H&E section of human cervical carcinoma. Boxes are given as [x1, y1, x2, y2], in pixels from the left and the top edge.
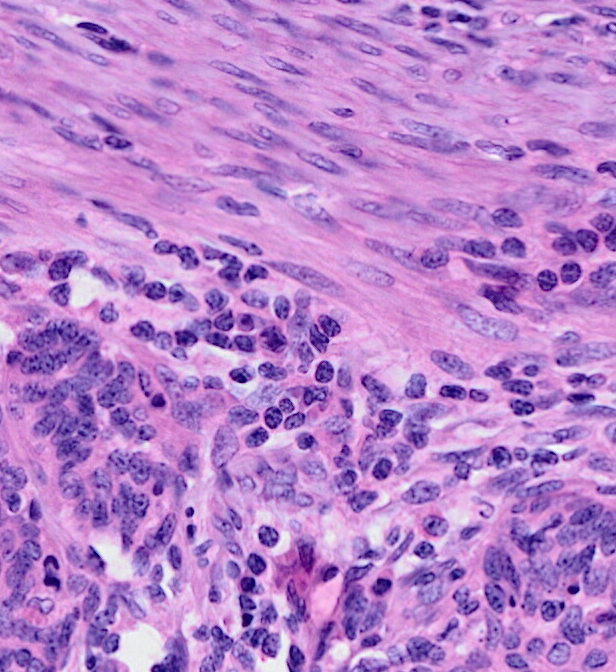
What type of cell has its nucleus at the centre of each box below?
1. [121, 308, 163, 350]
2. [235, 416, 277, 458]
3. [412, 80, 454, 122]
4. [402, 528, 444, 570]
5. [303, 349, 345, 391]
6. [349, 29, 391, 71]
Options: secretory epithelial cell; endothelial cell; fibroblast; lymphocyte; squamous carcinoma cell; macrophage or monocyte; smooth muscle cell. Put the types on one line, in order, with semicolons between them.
lymphocyte; lymphocyte; smooth muscle cell; lymphocyte; lymphocyte; smooth muscle cell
